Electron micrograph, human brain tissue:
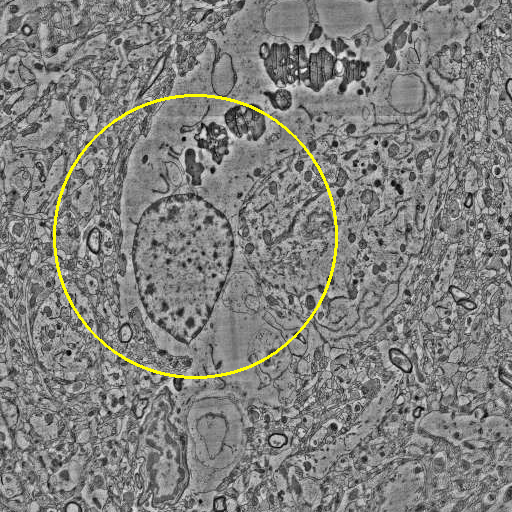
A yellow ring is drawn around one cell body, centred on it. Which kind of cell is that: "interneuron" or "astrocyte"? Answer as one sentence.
It is an astrocyte at the centre of the ring.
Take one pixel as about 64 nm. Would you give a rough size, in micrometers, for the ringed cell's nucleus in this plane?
Approximately 9 x 6 micrometres in this plane.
